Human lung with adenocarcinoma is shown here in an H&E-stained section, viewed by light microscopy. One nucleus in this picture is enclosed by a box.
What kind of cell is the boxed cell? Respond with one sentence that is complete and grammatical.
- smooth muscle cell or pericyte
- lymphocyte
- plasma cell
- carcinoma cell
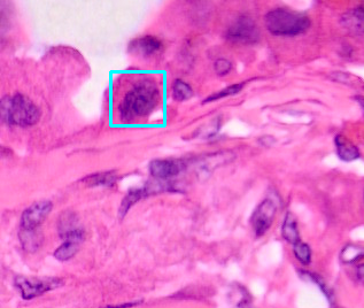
The identity of the boxed cell is that of a carcinoma cell.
